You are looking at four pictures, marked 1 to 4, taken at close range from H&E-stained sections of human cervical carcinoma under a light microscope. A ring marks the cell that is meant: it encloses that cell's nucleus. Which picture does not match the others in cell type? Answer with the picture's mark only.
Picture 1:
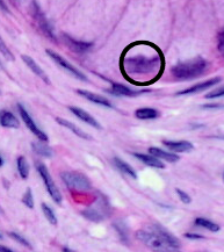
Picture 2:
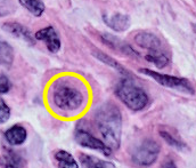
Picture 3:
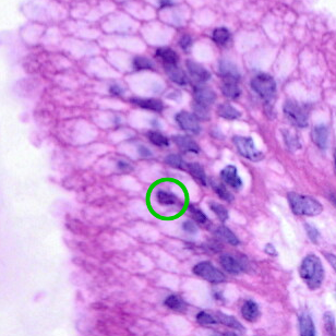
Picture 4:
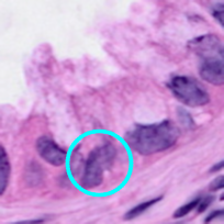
2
